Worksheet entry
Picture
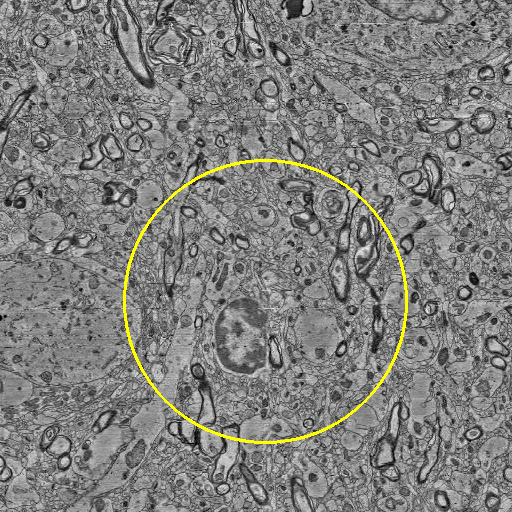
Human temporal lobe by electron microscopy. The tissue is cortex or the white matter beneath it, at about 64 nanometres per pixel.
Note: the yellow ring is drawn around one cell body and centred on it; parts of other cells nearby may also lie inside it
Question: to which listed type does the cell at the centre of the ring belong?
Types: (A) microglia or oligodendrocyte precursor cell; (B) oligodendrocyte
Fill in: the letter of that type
A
